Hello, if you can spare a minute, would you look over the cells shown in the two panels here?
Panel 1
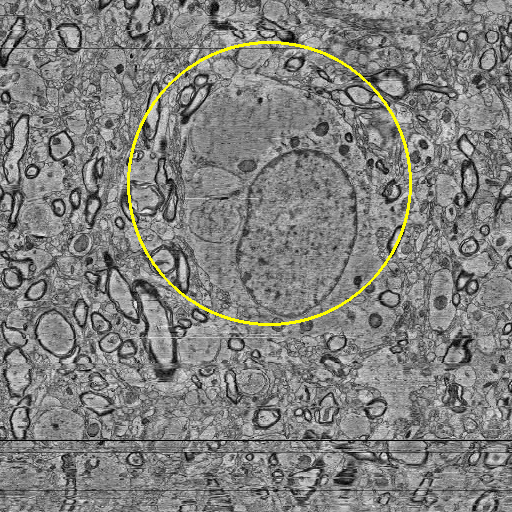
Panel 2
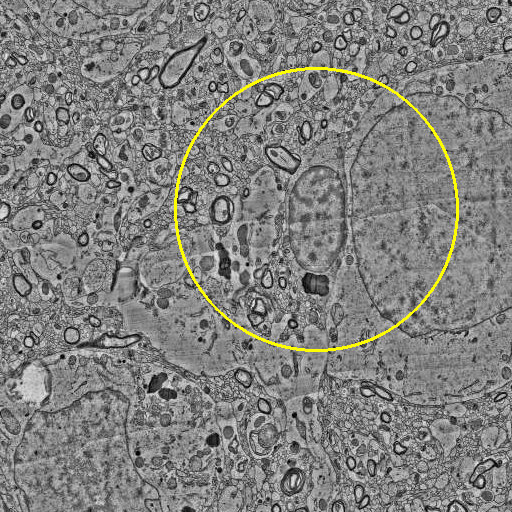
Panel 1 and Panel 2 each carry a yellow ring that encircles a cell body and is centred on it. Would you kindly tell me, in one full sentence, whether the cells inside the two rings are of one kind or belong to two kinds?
The cells at the centres of the rings in Panel 1 and Panel 2 belong to two kinds.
